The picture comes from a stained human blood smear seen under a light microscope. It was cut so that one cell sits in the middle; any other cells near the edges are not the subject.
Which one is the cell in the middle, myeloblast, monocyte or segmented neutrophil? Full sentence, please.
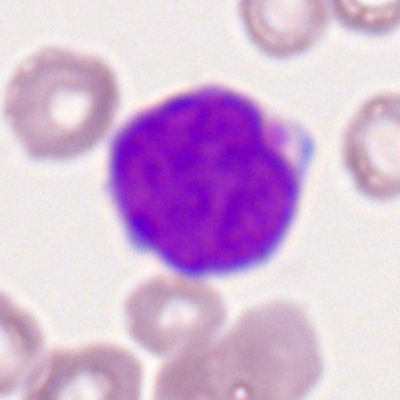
This crop's central cell is a myeloblast.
